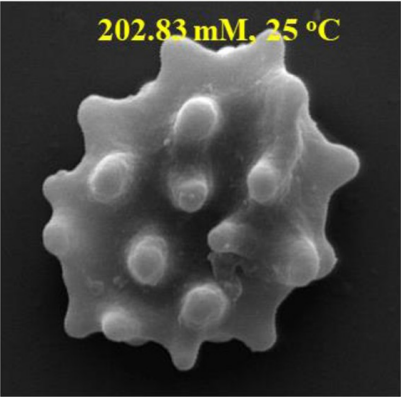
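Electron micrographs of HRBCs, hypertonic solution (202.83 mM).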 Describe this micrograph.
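A single red blood cell lies on a flat background, its outline no longer a smooth disc but rounded and studded with many short, blunt projections. The projections are fairly evenly spaced over the surface and around the margin, some ending in small rounded knobs. No central depression can be made out. This spiculated form is that of an echinocyte.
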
